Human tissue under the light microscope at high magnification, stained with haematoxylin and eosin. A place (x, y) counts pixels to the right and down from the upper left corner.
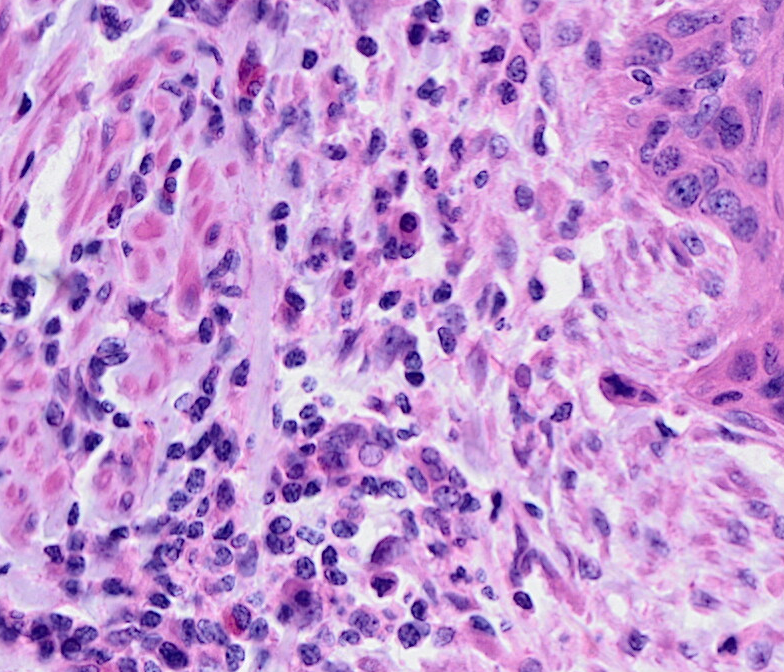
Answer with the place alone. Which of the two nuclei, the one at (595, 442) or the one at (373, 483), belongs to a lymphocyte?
(373, 483)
